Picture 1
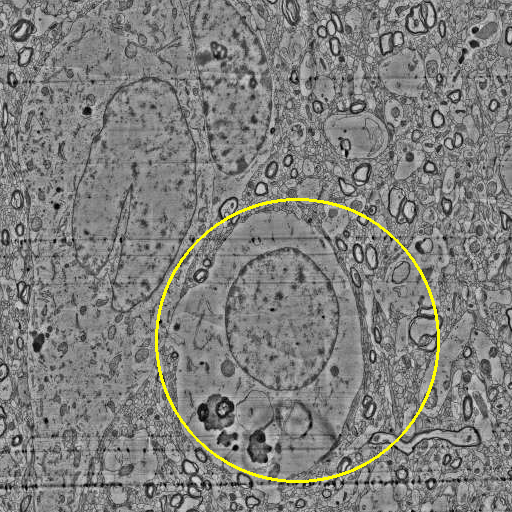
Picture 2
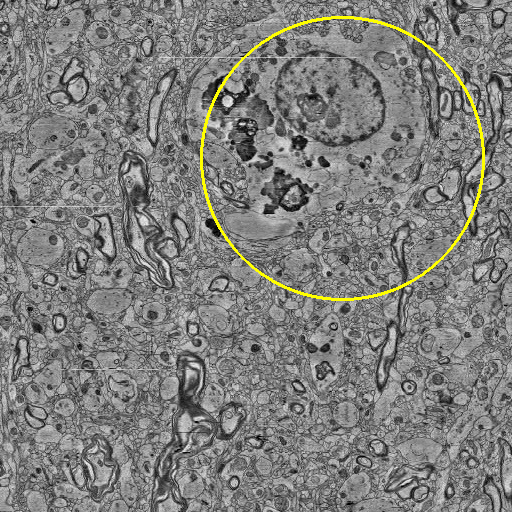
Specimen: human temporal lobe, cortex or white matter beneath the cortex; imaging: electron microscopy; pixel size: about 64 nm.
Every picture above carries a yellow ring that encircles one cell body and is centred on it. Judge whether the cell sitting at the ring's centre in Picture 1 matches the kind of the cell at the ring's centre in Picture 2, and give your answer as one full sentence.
Yes, the cells centred in the rings of Pictures 1 and 2 belong to one kind.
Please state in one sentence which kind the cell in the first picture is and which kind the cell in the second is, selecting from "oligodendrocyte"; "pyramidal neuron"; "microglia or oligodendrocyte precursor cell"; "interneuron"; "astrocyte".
In each of the two pictures, the ringed cell is an astrocyte.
